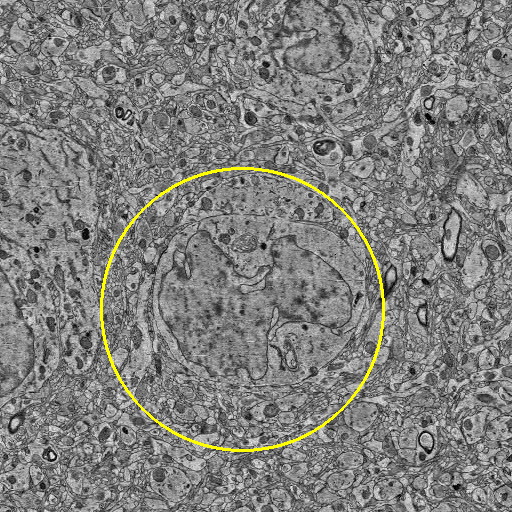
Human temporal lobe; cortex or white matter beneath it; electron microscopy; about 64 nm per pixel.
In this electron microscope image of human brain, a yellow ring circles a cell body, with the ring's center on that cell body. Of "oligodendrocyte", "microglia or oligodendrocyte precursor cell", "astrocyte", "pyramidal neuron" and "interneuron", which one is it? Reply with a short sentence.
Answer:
It is an interneuron at the center of the ring.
